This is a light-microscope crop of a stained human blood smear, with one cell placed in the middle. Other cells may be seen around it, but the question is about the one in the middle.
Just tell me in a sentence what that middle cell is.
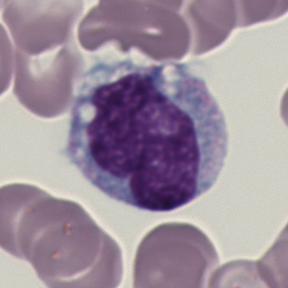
By type, the central cell of the crop is a monocyte.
